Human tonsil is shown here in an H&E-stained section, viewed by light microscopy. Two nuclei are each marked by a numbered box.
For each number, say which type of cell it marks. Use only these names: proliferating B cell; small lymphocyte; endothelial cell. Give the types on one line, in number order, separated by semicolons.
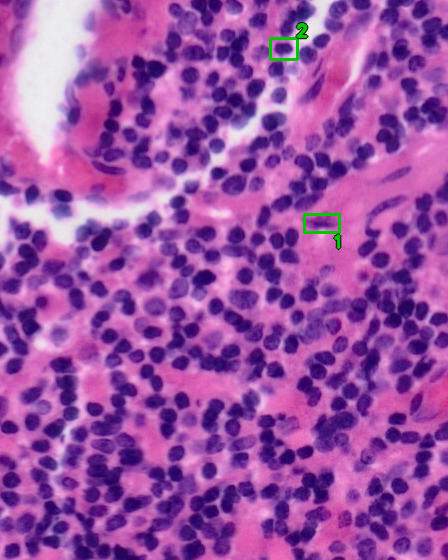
endothelial cell; small lymphocyte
